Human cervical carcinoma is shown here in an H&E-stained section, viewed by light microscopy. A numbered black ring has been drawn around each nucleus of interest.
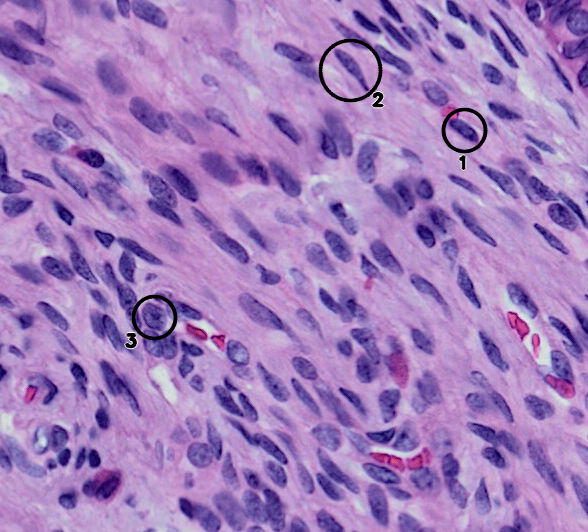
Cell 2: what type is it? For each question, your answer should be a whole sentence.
Numbered cell 2 is a fibroblast in this tissue section.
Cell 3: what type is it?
The nucleus labelled 3 belongs to an endothelial cell.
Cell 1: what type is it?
The cell with the number 1 is an endothelial cell.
